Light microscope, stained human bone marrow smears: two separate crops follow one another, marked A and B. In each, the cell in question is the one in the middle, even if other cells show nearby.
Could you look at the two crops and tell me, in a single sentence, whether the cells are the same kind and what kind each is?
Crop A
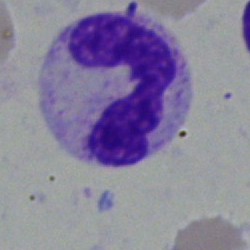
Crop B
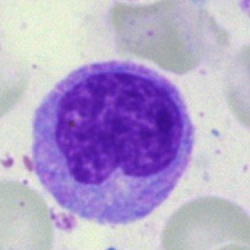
No; crop A is a band neutrophil, while crop B is a monocyte.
